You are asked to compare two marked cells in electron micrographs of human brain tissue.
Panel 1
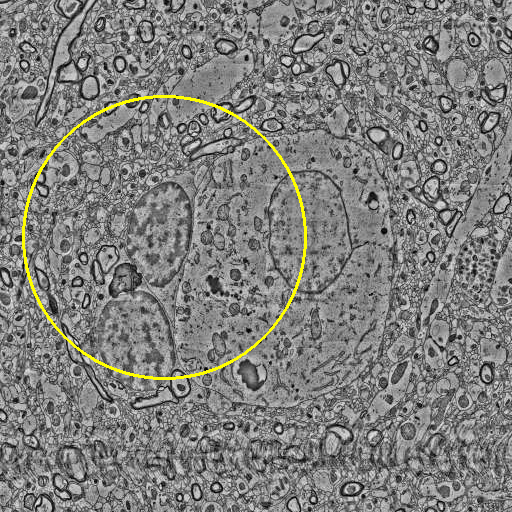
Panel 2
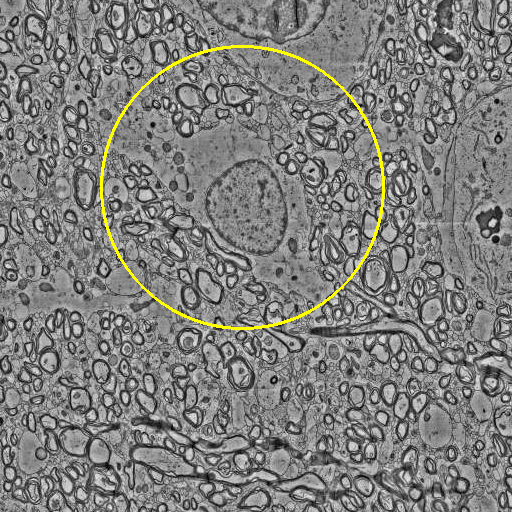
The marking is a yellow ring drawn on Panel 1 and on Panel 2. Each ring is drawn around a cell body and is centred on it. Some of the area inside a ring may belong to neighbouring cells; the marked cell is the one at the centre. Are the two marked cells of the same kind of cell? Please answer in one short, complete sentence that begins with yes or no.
No, the two marked cells are of two kinds.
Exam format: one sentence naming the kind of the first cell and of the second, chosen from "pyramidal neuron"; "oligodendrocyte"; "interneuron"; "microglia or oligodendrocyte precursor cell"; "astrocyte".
The first picture's cell is an oligodendrocyte, and the second picture's cell is an astrocyte.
